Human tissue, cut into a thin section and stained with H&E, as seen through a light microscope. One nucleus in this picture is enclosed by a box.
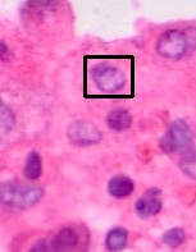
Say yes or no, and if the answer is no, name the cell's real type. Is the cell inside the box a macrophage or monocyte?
Yes.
